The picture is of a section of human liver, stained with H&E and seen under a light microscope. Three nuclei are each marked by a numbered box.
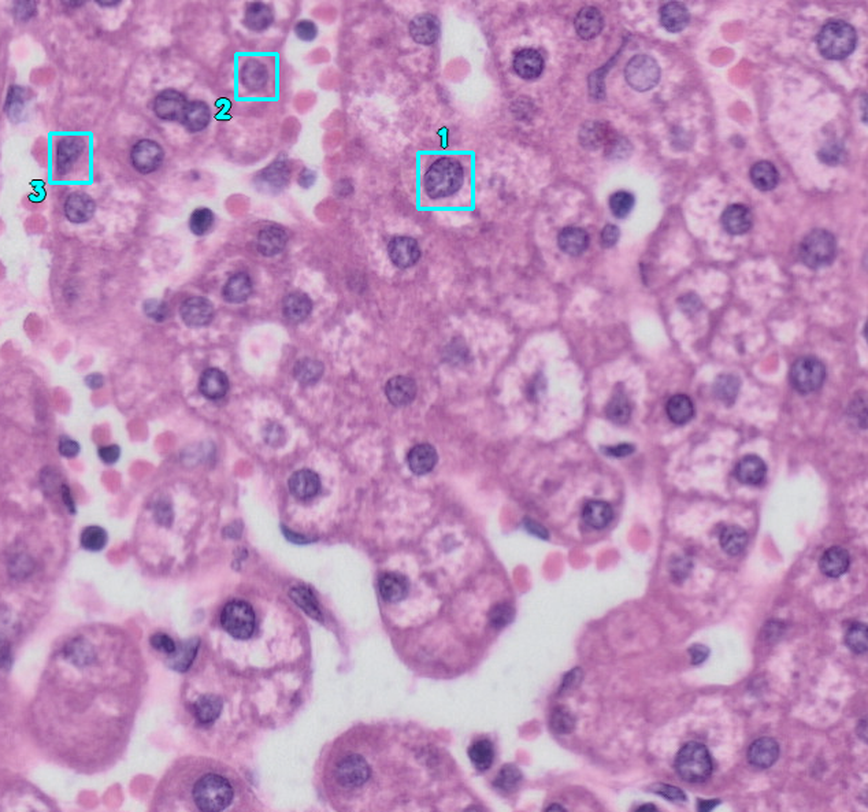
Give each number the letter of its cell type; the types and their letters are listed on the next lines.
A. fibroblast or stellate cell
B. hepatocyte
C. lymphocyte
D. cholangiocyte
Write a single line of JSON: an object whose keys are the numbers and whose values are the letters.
{"1": "B", "2": "B", "3": "A"}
